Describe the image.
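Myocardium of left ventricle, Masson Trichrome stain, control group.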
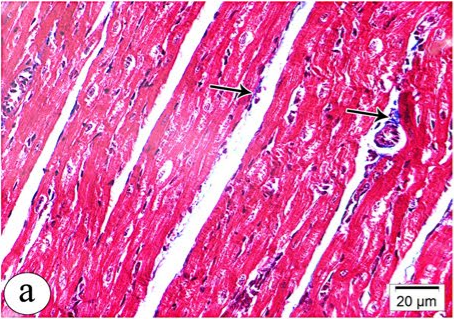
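This is heart muscle cut along its length, the cardiac muscle fibers stained bright red and running in long parallel bands with dark oval nuclei lying within them. Narrow pale clefts separate the bands. Between the fibers and around a small blood vessel lie thin, delicate blue strands of collagen.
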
